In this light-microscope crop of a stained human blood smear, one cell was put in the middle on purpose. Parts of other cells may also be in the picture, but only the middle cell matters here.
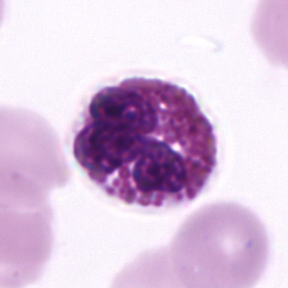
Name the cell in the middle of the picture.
eosinophil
